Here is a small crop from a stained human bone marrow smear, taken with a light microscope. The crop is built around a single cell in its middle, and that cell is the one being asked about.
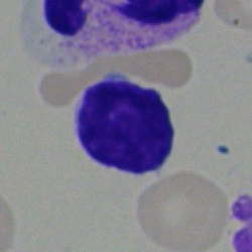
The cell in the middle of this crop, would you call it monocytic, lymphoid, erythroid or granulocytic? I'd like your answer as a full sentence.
The cell in the middle belongs to the lymphoid lineage.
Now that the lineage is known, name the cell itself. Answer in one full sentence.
The cell nearest the centre of this crop is a lymphocyte.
